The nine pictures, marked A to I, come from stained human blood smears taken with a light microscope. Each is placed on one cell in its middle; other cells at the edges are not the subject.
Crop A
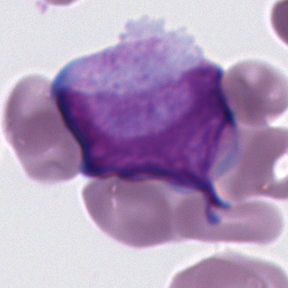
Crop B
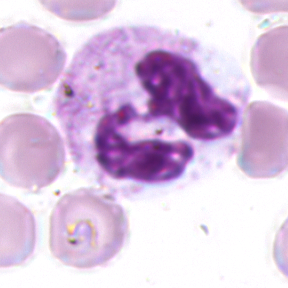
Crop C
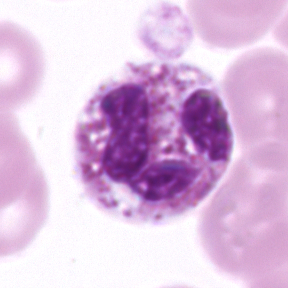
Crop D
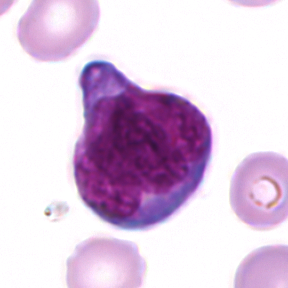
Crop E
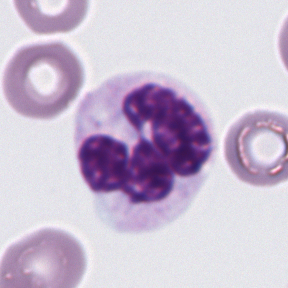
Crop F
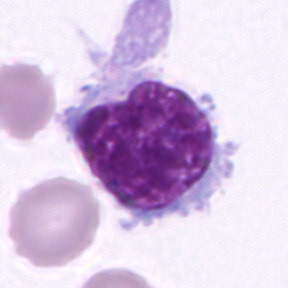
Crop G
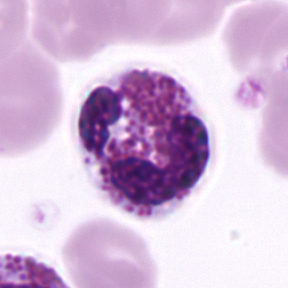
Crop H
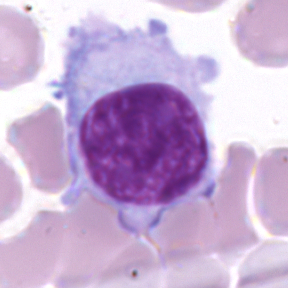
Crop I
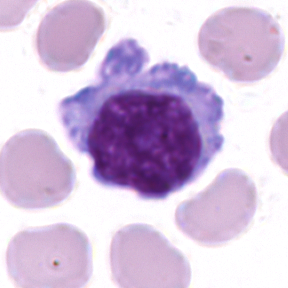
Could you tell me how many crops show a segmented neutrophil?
2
